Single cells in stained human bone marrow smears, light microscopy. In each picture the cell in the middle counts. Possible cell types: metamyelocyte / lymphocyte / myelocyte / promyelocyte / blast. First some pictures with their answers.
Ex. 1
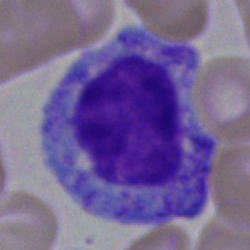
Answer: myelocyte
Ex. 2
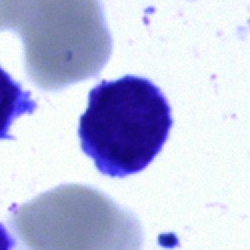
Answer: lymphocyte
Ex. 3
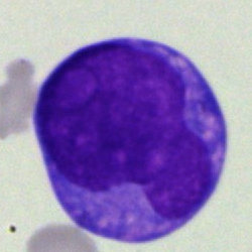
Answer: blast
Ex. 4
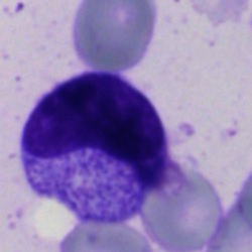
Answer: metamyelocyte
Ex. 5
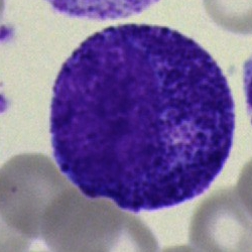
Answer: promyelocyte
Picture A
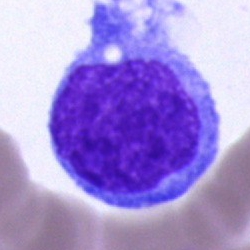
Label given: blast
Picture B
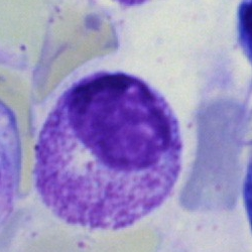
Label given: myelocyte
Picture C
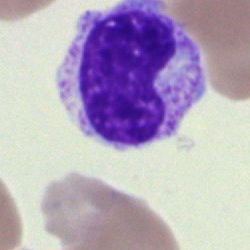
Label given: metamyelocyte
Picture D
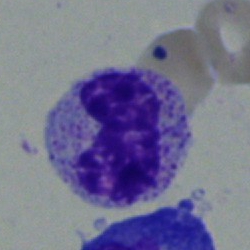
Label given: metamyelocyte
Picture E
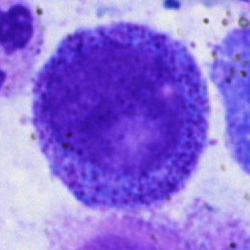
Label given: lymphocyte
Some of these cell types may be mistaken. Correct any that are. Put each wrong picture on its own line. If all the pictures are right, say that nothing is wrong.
E is labelled lymphocyte; correct label: promyelocyte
